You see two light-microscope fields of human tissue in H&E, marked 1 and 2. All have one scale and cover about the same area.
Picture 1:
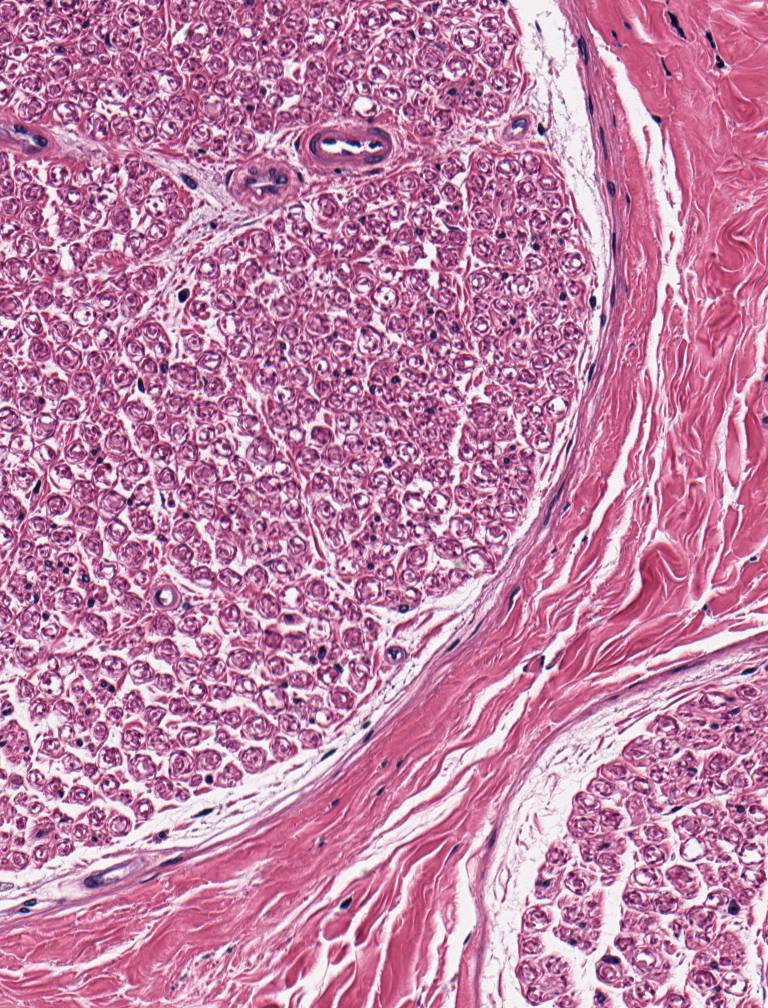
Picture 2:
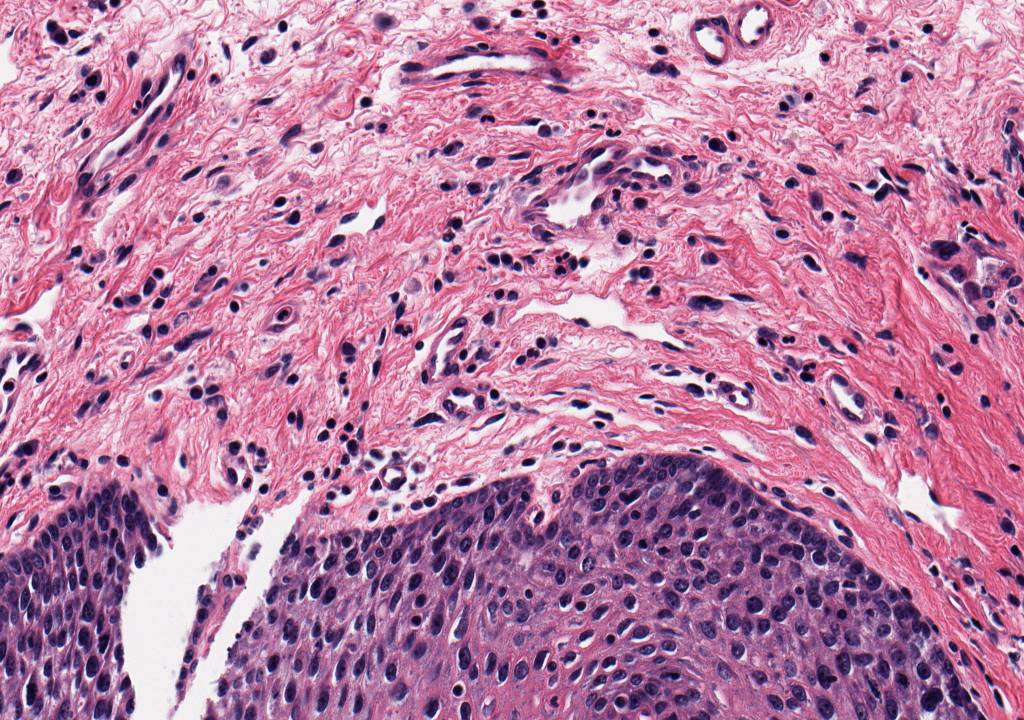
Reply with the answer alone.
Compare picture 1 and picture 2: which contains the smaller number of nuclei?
1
